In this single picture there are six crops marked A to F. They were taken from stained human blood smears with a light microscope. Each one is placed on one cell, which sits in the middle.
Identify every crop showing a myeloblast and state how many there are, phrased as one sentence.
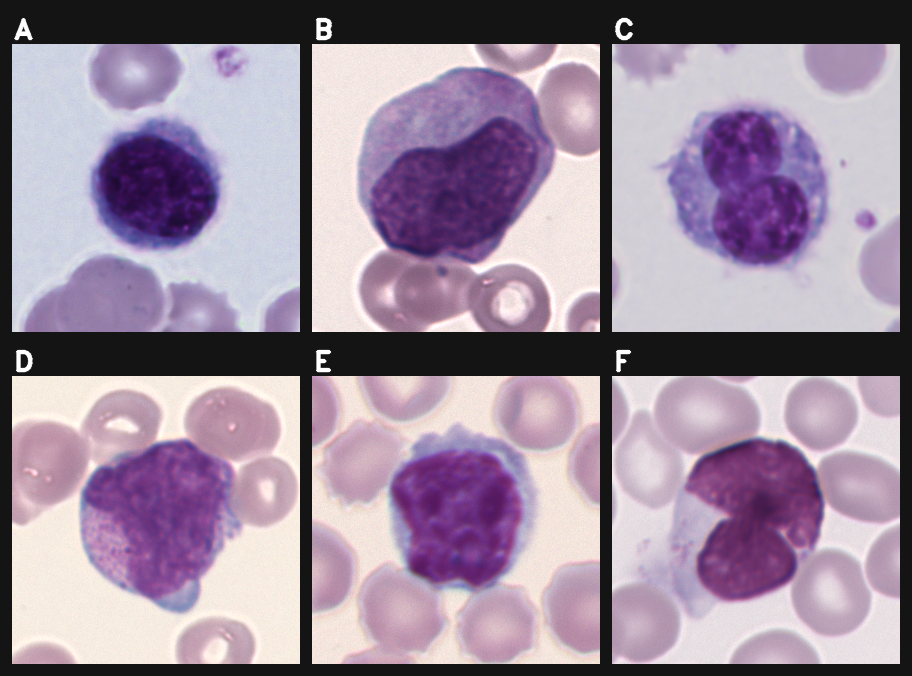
On review, none of the crops shows myeloblasts, so the count is zero.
